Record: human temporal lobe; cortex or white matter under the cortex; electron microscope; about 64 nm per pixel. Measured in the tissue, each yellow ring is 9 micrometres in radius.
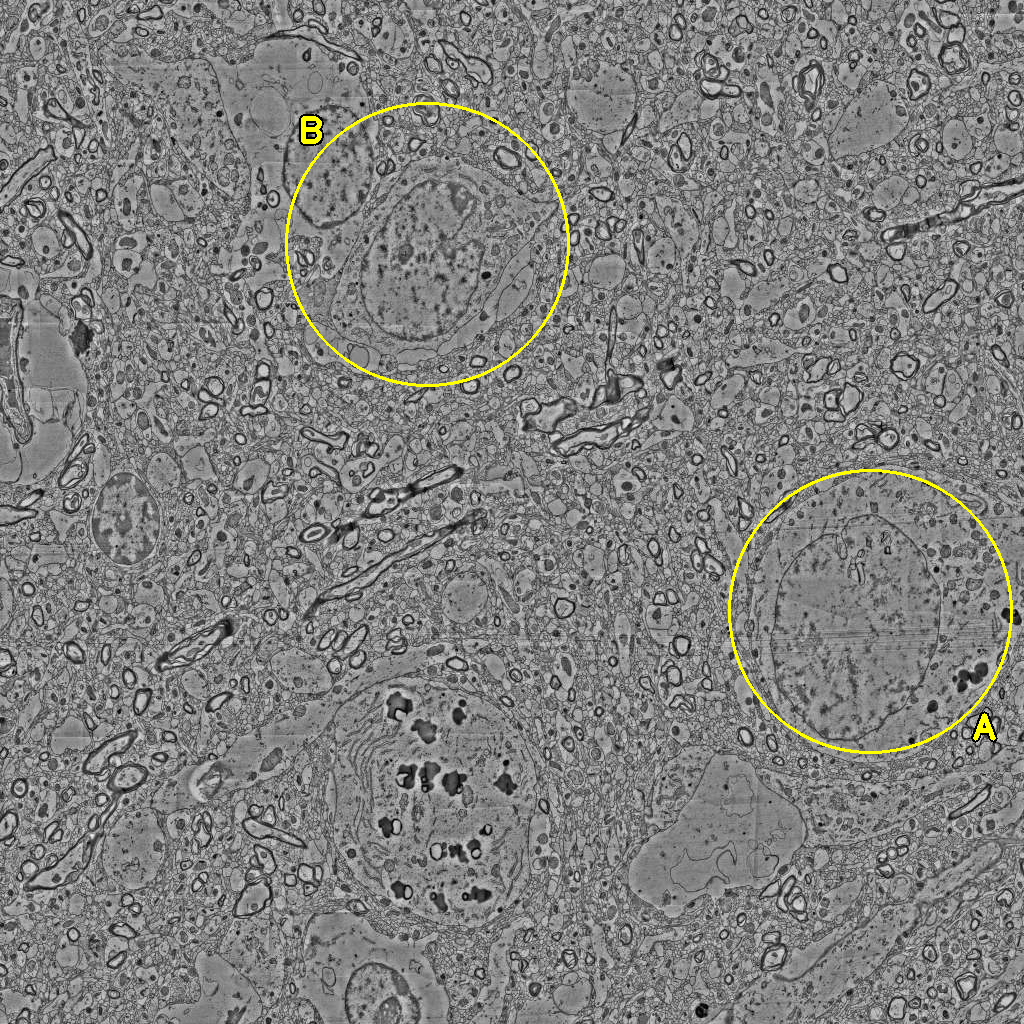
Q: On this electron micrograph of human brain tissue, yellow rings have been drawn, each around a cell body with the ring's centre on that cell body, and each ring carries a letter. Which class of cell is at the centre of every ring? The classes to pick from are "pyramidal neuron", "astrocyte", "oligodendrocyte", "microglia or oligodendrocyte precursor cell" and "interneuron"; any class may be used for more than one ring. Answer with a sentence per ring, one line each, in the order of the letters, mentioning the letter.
The centre of ring A is occupied by a pyramidal neuron.
The centre of ring B is occupied by an interneuron.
